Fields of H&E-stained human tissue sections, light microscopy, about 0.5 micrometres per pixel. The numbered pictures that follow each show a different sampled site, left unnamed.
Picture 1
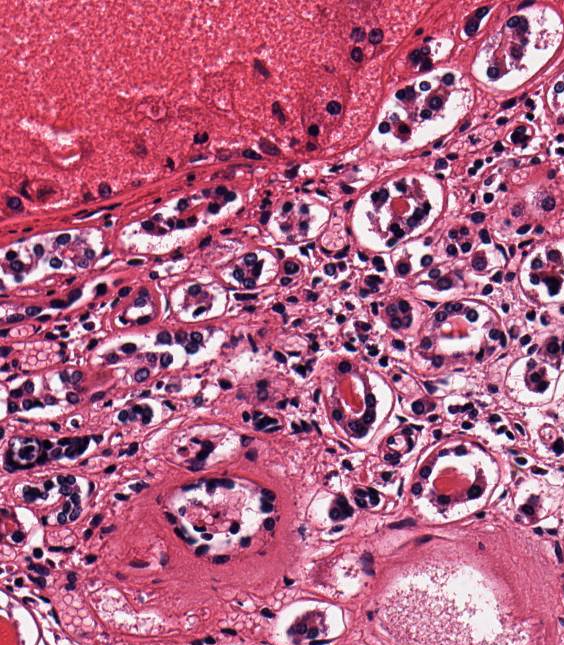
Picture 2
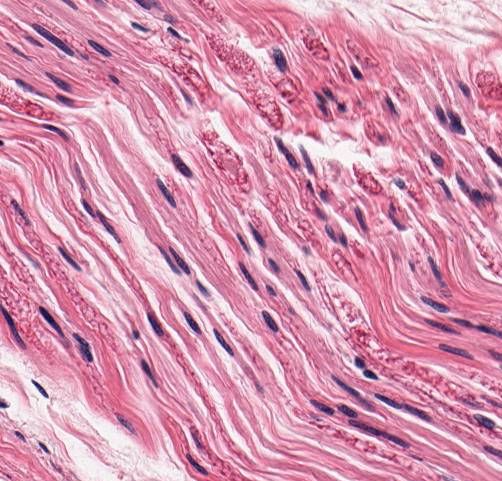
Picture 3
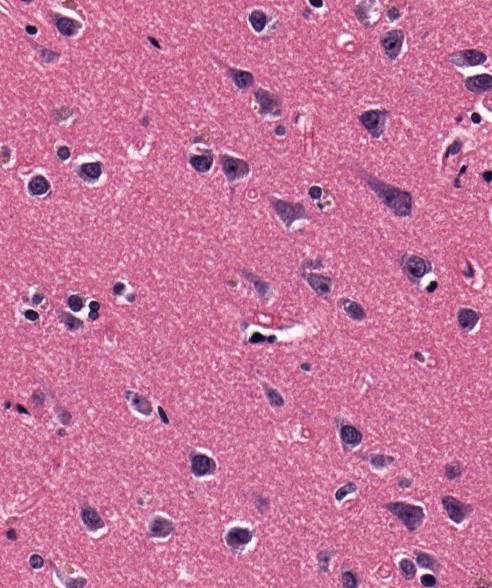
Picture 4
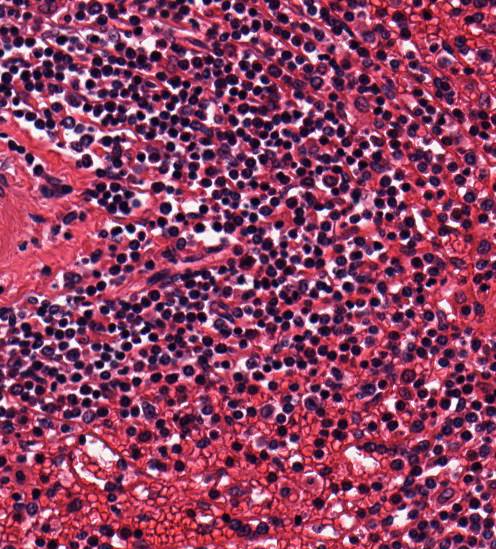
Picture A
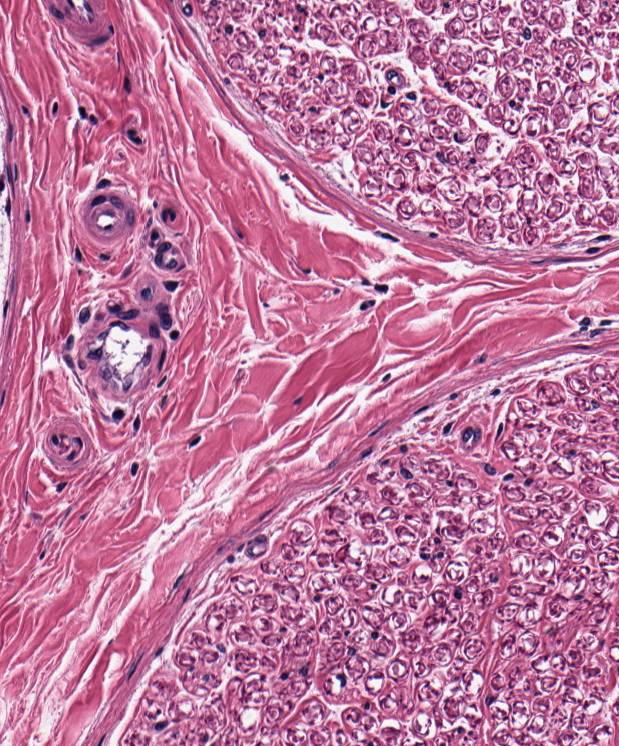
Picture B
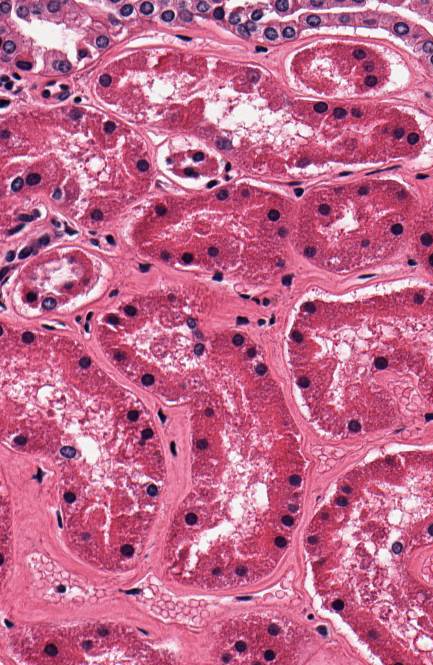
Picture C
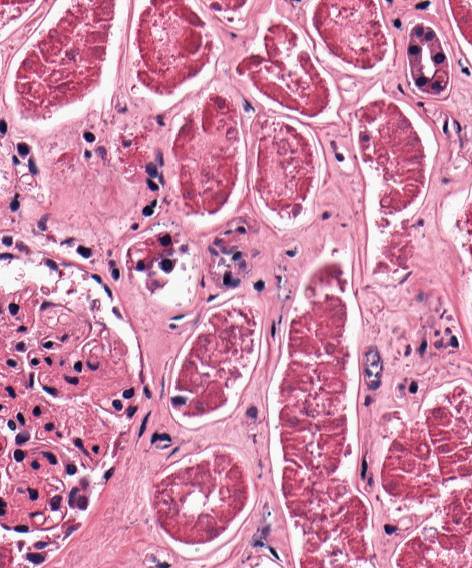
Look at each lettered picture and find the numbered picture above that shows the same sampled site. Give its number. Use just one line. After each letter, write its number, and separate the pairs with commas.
A 2, B 1, C 1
